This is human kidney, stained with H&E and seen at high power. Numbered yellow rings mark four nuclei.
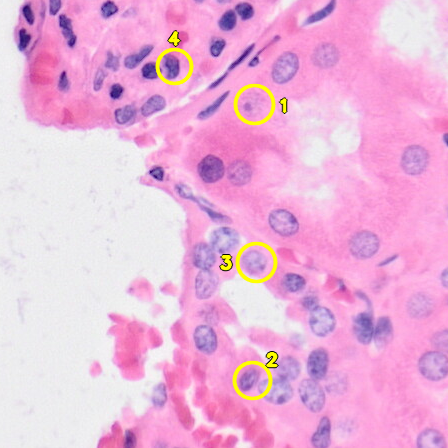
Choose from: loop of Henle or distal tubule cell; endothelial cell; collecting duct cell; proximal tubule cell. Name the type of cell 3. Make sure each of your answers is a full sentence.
The marked cell bearing number 3 is a collecting duct cell.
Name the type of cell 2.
Corresponding to a collecting duct cell is the cell labelled 2.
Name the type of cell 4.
The cell referenced by the number 4 is an endothelial cell in this field.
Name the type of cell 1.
The marked cell bearing number 1 is a proximal tubule cell.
